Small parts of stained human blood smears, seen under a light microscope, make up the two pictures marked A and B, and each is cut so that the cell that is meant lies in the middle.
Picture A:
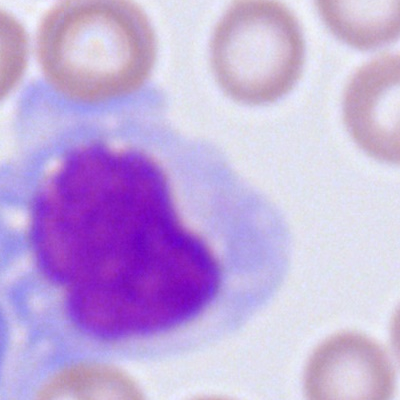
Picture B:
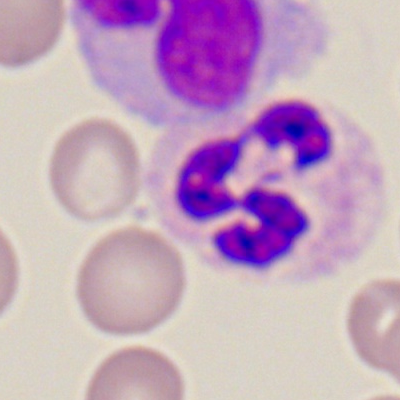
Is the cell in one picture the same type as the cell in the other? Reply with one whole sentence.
No. Picture A shows a monocyte, but picture B shows a segmented neutrophil.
